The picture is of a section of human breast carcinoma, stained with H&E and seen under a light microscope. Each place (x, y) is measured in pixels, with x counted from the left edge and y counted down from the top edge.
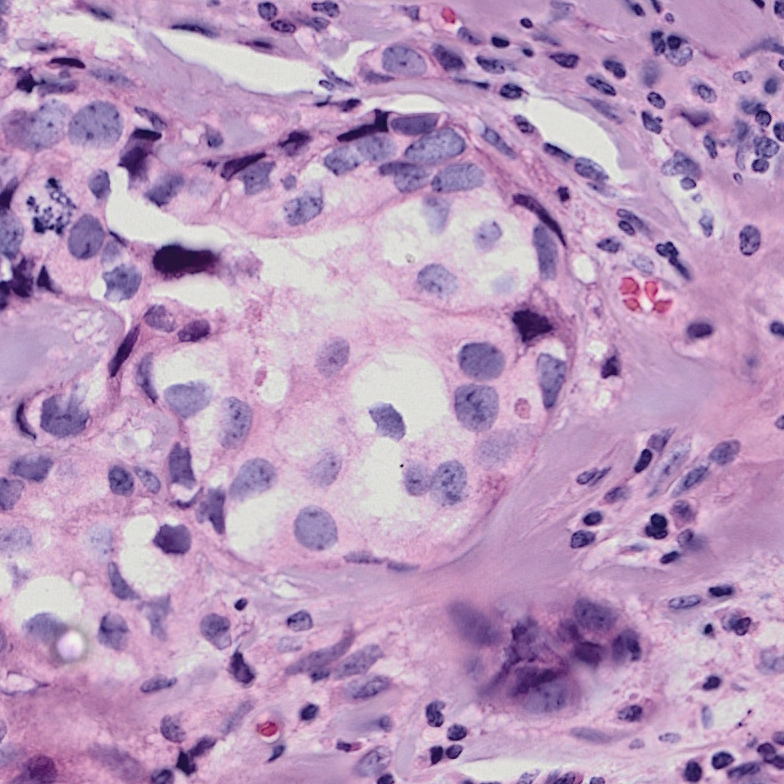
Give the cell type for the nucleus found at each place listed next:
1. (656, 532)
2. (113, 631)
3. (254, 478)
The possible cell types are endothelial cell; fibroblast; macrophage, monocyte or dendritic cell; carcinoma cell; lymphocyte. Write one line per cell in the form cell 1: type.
cell 1: lymphocyte
cell 2: carcinoma cell
cell 3: carcinoma cell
